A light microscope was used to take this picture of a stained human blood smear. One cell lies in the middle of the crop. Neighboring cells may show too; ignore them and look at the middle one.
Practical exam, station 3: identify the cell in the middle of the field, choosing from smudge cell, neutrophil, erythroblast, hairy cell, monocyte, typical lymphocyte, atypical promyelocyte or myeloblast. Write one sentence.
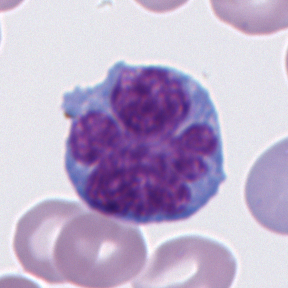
What sits at the centre of this crop is a myeloblast.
